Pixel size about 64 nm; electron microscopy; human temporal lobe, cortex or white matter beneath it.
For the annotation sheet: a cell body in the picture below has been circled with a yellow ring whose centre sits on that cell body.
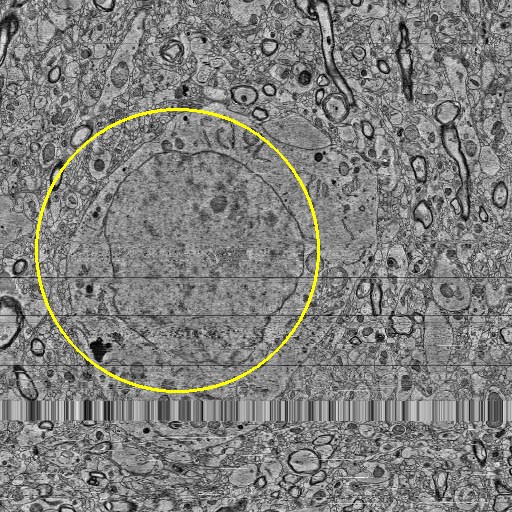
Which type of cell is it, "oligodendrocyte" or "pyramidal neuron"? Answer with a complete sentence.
The circled cell is a pyramidal neuron.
